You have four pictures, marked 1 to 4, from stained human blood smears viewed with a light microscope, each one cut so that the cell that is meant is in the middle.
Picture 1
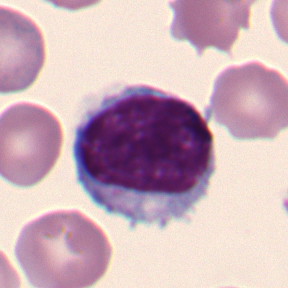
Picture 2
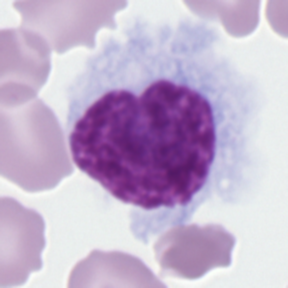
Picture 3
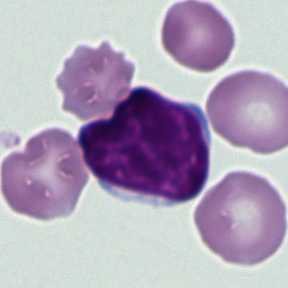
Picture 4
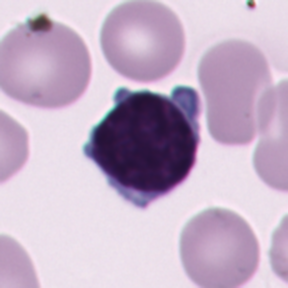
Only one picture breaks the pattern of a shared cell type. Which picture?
2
